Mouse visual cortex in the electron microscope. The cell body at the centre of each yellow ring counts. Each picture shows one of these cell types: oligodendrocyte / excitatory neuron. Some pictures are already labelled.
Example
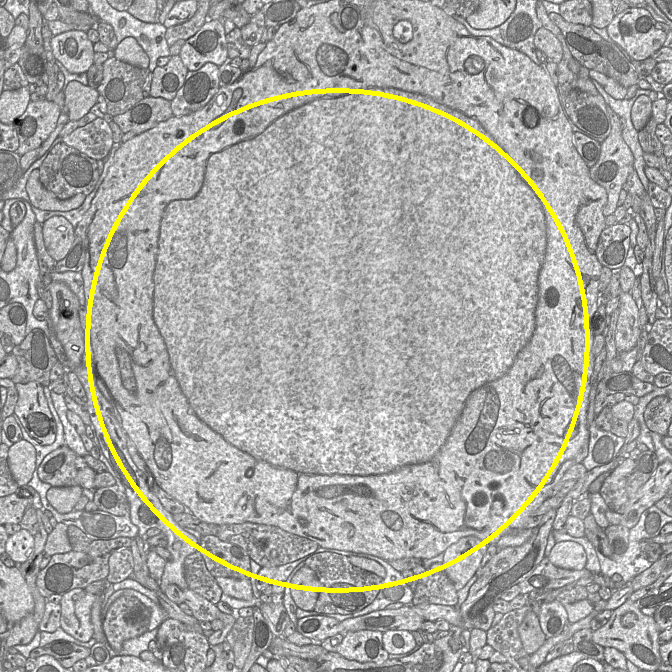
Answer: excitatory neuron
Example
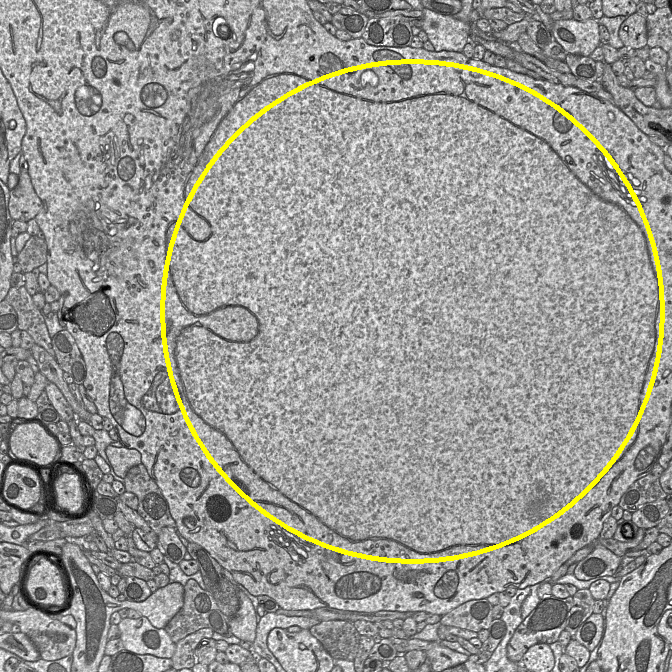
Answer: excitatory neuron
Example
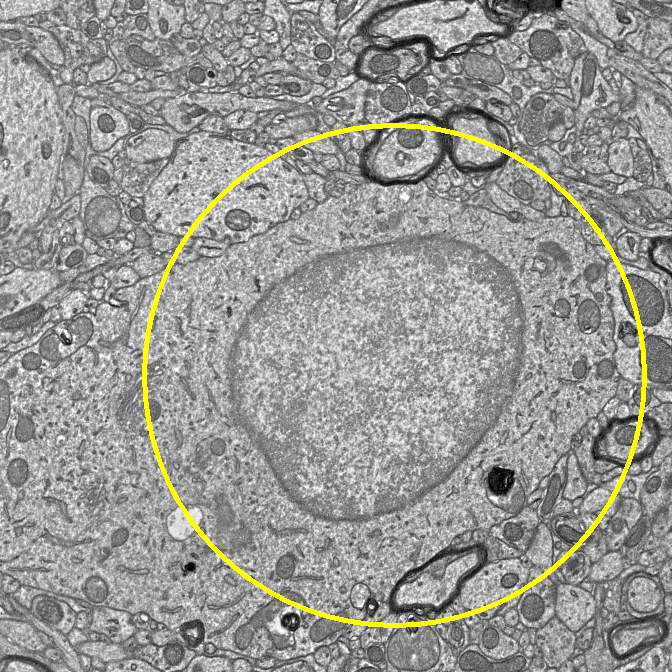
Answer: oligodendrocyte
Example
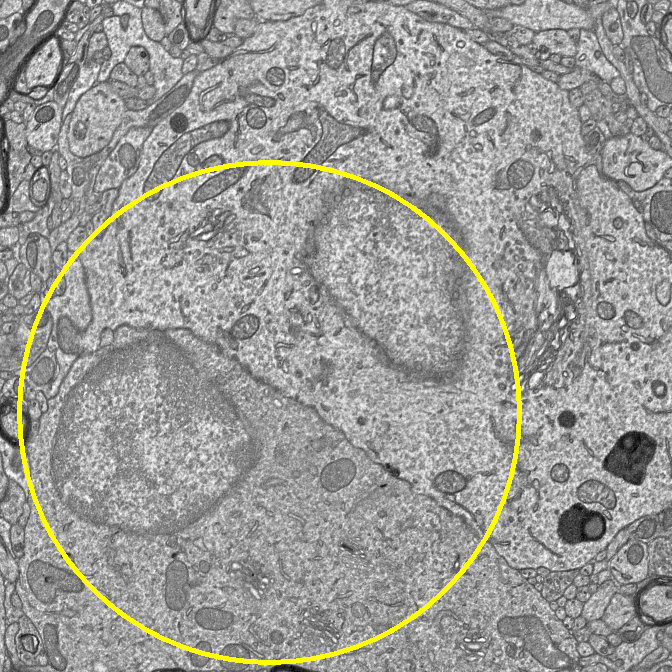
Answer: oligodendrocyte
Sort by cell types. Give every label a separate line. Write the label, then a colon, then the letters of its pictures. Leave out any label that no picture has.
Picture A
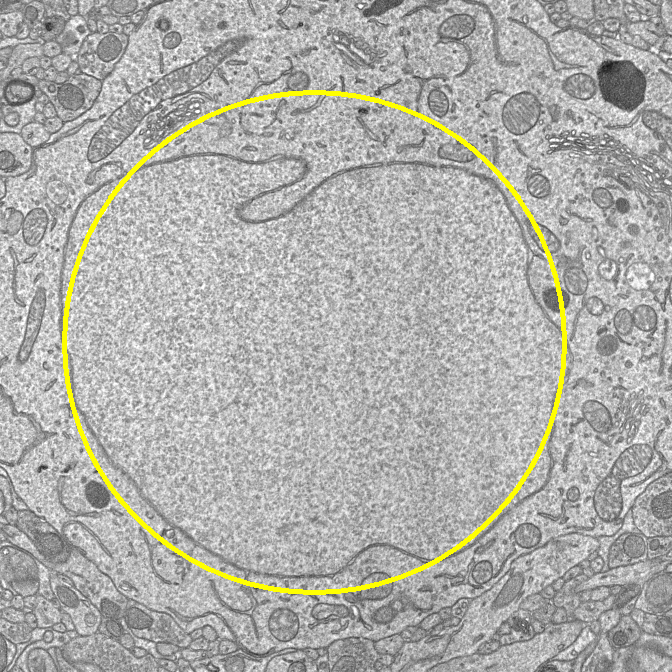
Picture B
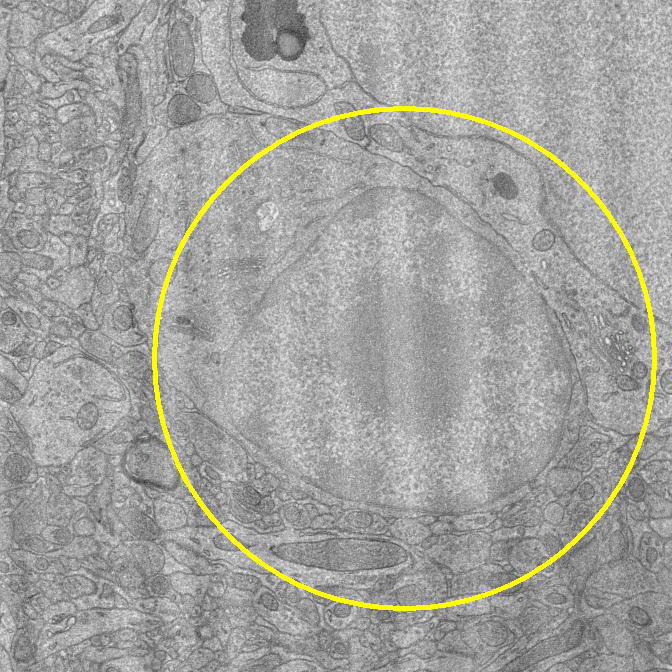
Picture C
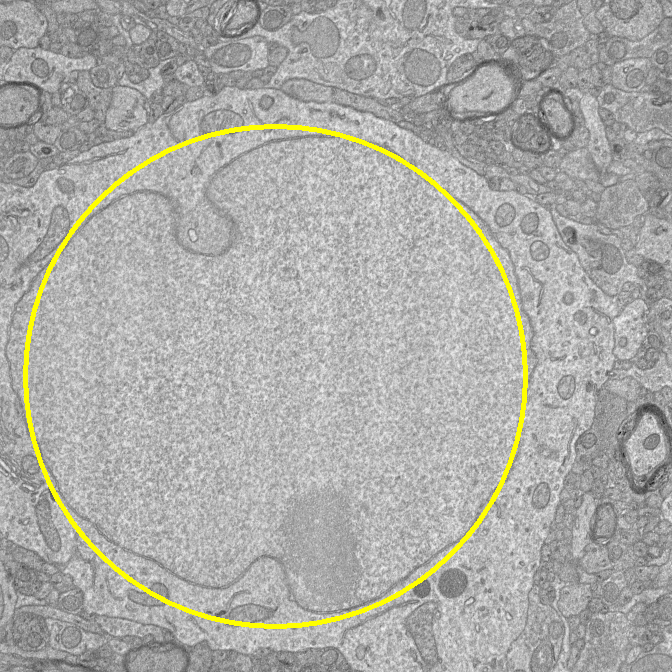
oligodendrocyte: B
excitatory neuron: A, C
